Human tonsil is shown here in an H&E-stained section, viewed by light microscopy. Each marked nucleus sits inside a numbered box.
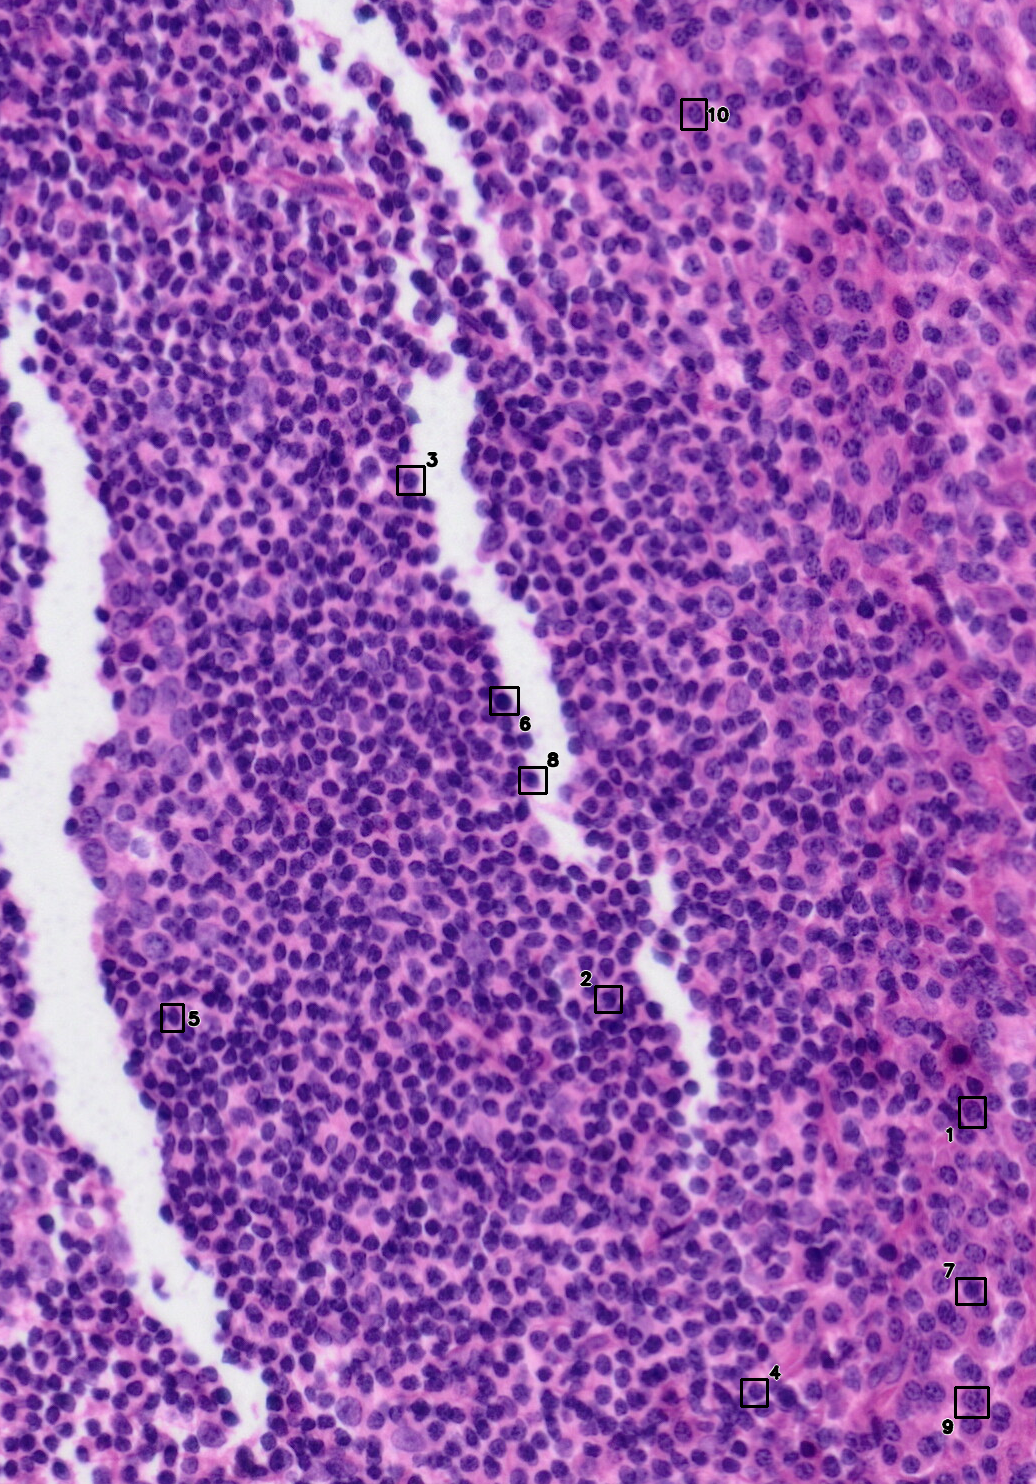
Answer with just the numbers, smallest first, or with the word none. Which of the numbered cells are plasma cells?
1, 7, 9, 10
